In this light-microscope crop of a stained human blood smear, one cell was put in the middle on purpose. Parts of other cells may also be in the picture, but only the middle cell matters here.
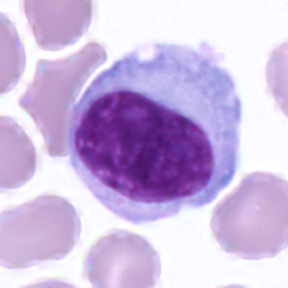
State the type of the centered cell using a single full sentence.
What the crop centres on is a plasma cell.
